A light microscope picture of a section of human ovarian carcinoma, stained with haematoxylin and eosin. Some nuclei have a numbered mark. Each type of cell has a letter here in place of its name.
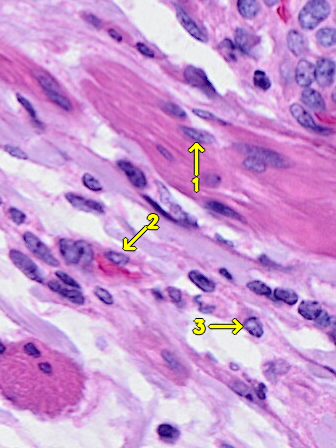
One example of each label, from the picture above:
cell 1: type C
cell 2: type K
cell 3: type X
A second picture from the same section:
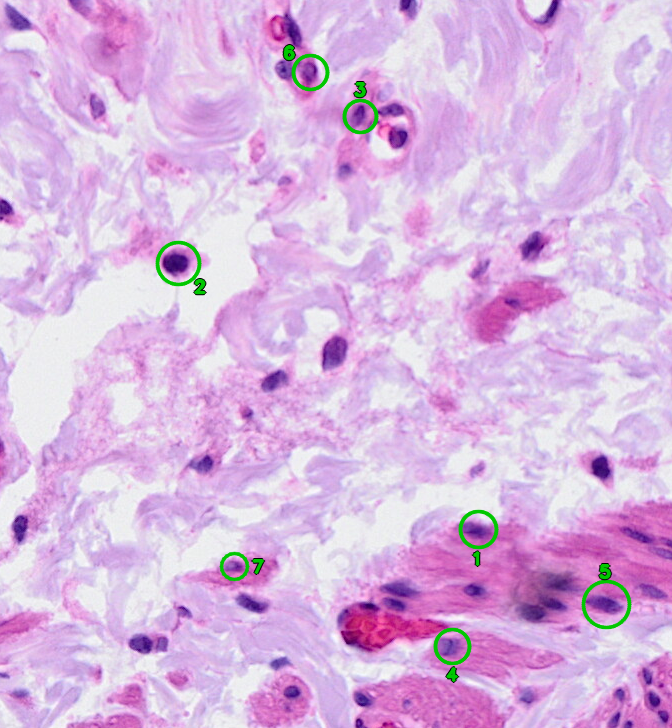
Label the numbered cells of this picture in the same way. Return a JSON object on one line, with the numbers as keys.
{"1": "type C", "2": "type X", "3": "type K", "4": "type C", "5": "type C", "6": "type K", "7": "type C"}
